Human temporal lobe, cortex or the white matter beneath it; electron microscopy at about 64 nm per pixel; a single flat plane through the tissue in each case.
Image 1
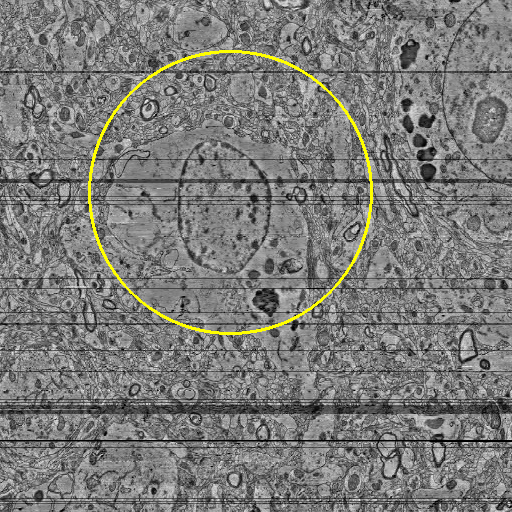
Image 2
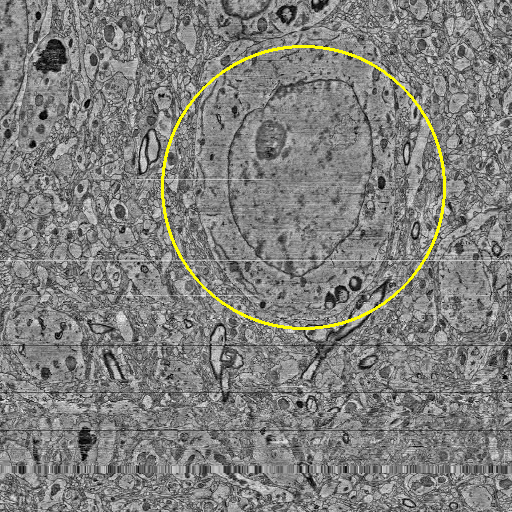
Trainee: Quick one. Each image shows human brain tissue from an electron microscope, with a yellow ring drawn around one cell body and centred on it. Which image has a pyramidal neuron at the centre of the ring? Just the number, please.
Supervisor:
2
